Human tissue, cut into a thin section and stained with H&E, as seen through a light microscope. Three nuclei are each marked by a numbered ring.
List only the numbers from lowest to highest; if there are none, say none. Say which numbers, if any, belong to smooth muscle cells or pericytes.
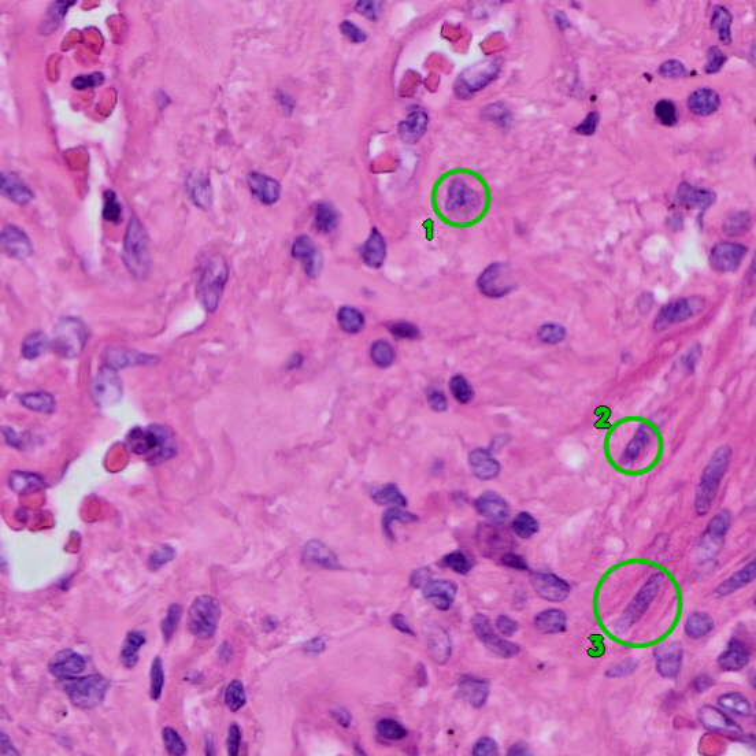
2, 3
